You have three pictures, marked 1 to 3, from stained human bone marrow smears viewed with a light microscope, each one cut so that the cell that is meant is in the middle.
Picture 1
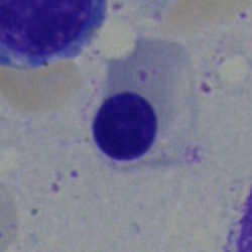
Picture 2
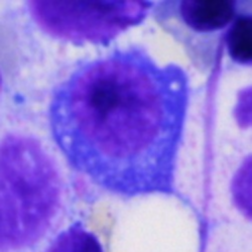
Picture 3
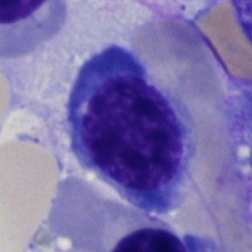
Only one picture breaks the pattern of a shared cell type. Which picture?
2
